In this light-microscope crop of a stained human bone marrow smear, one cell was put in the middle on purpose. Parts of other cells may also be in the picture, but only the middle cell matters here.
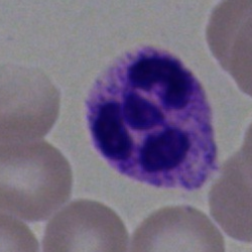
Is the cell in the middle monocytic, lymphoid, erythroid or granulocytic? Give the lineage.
granulocytic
